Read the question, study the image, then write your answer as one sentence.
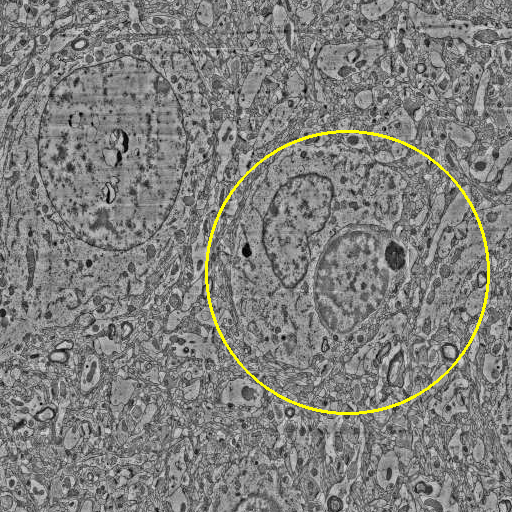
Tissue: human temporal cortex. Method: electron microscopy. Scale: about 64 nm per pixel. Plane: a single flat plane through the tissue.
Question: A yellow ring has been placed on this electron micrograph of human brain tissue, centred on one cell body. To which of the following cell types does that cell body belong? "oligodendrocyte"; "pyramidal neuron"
That cell body belongs to an oligodendrocyte.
